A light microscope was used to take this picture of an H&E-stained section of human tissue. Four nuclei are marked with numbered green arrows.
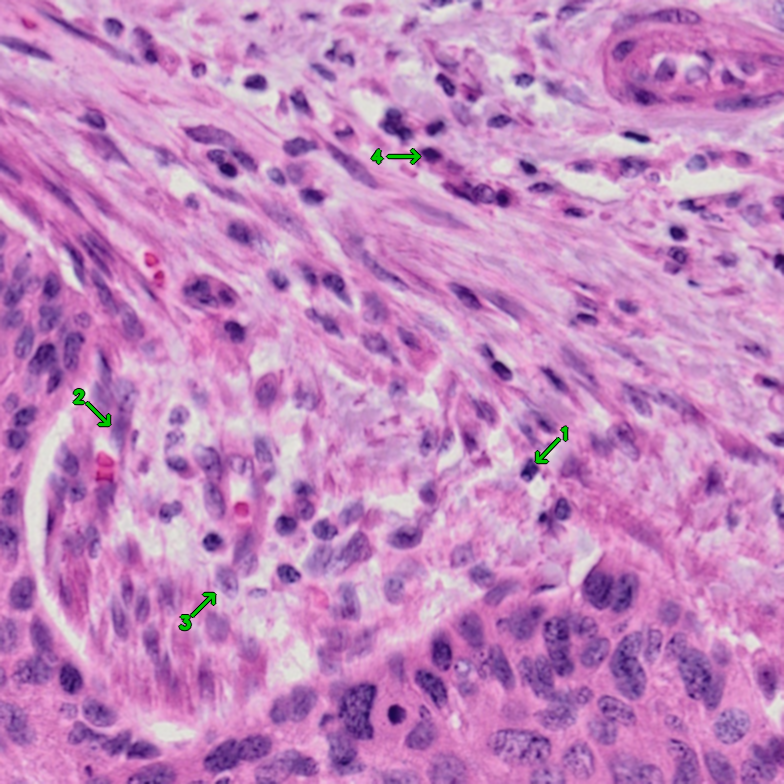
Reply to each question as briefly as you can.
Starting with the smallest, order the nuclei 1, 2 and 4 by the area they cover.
4, 1, 2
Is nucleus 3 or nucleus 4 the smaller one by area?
4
